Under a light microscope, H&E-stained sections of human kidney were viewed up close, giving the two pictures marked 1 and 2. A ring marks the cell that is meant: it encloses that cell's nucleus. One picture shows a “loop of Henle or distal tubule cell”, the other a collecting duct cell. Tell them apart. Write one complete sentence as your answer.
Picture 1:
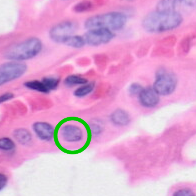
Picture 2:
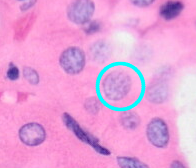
It is picture 1 that shows a collecting duct cell, and picture 2 that shows a “loop of Henle or distal tubule cell”.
